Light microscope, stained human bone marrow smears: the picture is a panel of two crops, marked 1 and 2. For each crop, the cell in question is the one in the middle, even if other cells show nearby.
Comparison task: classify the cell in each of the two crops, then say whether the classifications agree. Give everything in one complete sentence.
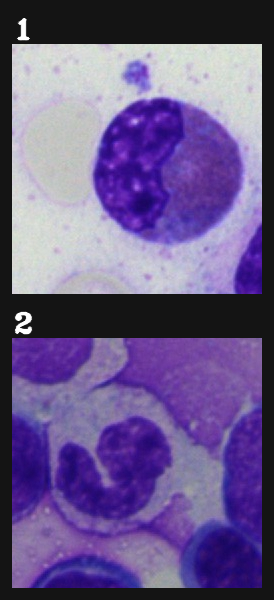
No, crop 1 and crop 2 contain, respectively, an eosinophil and a segmented neutrophil.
